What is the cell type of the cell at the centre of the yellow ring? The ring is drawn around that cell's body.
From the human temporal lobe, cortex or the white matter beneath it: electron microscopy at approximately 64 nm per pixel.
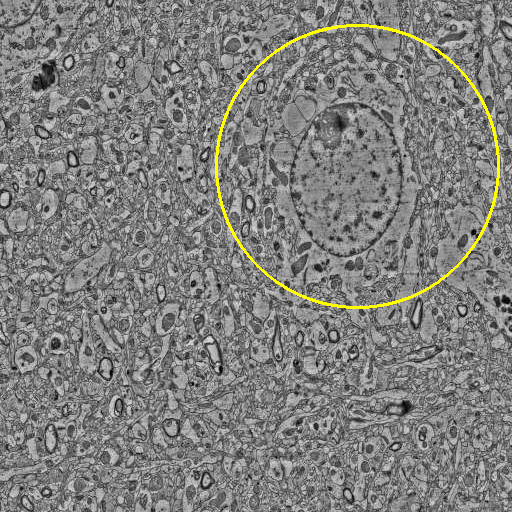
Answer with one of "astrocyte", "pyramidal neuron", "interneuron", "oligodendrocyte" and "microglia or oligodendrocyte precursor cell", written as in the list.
astrocyte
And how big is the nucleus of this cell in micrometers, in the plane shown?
The nucleus of the ringed cell is approximately 10 by 7 micrometres in this plane.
